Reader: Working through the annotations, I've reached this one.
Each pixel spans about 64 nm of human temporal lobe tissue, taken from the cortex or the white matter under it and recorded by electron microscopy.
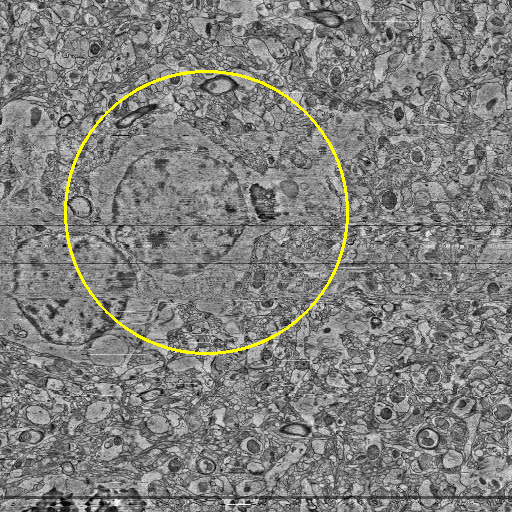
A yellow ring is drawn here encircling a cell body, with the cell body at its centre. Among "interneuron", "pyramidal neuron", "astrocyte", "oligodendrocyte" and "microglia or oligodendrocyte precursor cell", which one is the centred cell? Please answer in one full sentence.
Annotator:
The cell body at the centre of the yellow ring in this image belongs to an astrocyte.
